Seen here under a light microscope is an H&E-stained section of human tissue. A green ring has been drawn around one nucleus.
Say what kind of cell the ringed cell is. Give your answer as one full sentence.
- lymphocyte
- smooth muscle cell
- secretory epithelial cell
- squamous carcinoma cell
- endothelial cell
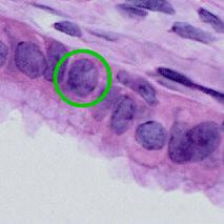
Cell type answer for this item: the ringed cell is a secretory epithelial cell.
